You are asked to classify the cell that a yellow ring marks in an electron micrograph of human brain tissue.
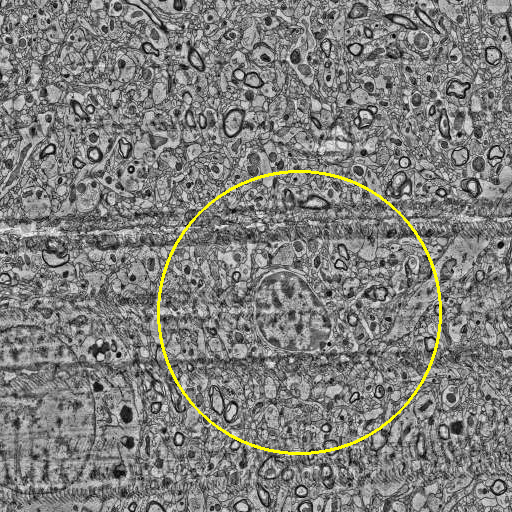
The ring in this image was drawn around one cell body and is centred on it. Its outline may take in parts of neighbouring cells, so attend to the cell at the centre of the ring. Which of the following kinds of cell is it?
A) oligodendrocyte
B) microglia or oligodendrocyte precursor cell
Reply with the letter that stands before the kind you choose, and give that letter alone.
B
